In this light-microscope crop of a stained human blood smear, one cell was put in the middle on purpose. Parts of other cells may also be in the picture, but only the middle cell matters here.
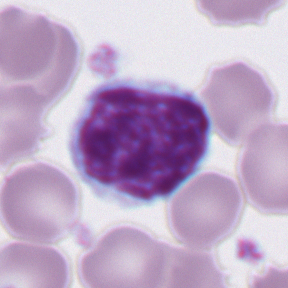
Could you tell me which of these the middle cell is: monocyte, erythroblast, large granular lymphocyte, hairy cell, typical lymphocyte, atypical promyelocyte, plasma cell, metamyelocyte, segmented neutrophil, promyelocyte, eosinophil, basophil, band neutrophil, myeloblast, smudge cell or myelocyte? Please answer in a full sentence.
This crop has a typical lymphocyte at its centre.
